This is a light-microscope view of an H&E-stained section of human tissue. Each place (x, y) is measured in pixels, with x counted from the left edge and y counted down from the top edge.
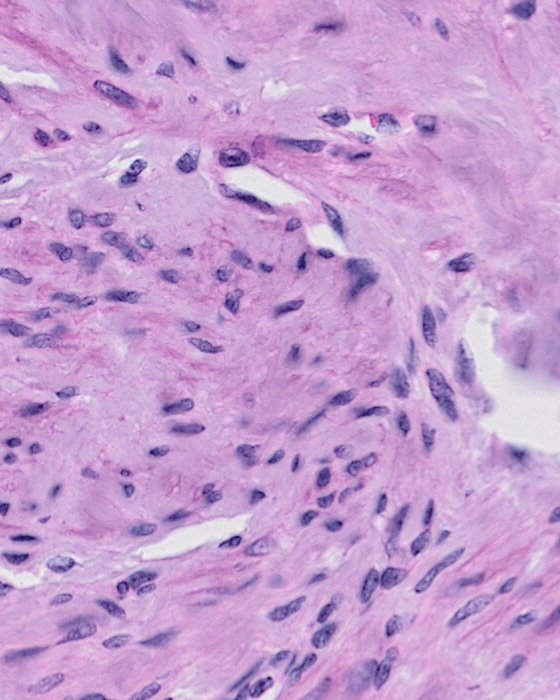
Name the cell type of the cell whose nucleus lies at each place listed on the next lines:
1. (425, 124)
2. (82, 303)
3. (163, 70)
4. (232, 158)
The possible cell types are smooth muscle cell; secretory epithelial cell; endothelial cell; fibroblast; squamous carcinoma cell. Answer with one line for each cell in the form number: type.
1: endothelial cell
2: smooth muscle cell
3: fibroblast
4: endothelial cell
